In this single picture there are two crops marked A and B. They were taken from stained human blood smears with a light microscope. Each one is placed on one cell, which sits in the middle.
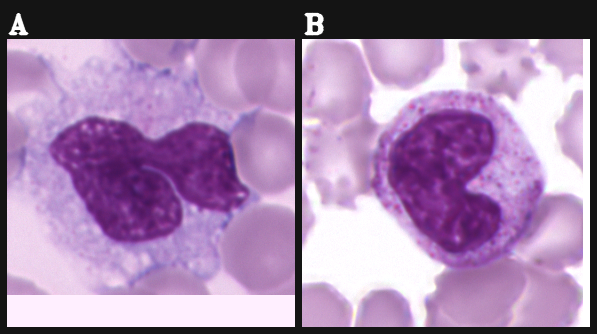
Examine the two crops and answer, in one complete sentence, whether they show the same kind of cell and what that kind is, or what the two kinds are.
No, the middle of crop A holds a monocyte, and the middle of crop B holds a metamyelocyte.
